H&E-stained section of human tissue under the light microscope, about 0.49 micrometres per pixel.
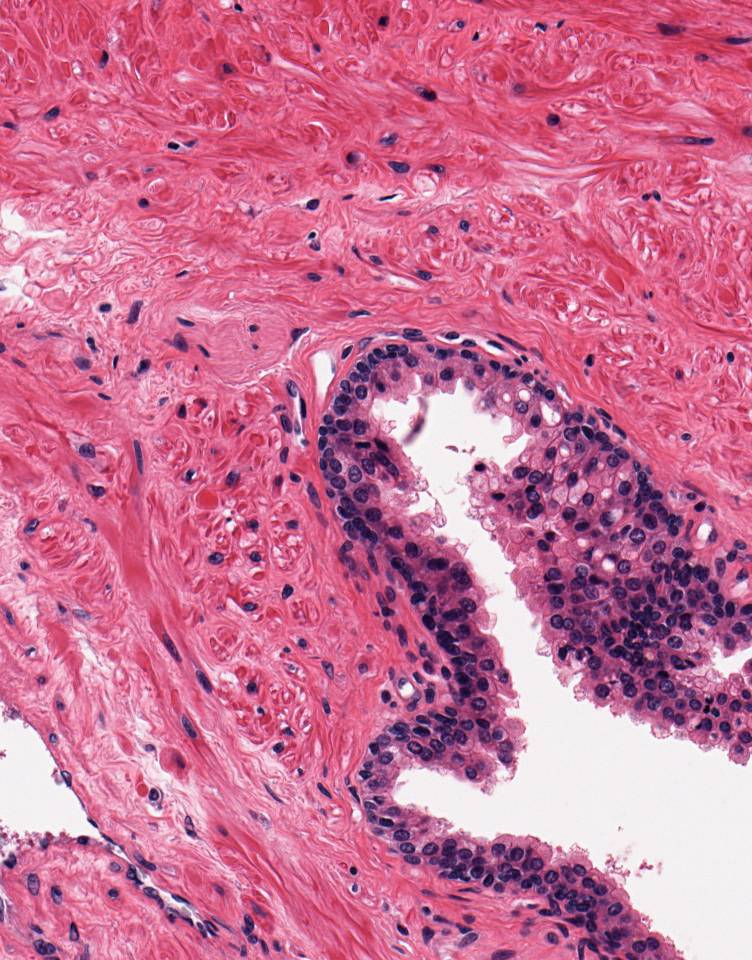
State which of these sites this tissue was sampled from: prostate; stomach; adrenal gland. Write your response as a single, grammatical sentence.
Obtained from the prostate, the tissue was sectioned for this slide.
